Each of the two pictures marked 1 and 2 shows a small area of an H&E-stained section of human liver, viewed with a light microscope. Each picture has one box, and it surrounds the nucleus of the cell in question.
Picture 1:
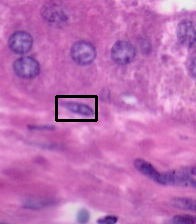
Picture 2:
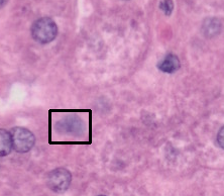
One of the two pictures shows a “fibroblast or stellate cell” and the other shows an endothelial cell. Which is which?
1: fibroblast or stellate cell
2: endothelial cell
